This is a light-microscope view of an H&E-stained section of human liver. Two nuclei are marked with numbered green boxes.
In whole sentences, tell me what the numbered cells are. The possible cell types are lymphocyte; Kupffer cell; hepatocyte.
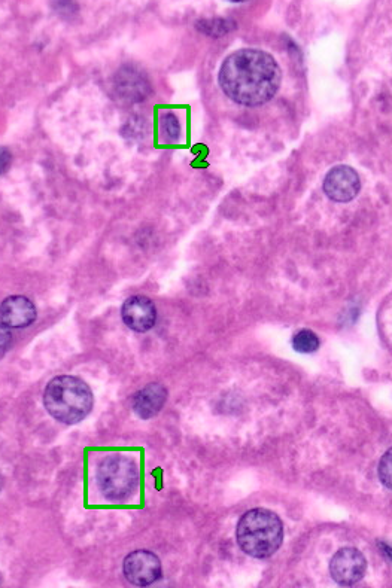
Cell 1 is a hepatocyte. Cell 2 is a Kupffer cell.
